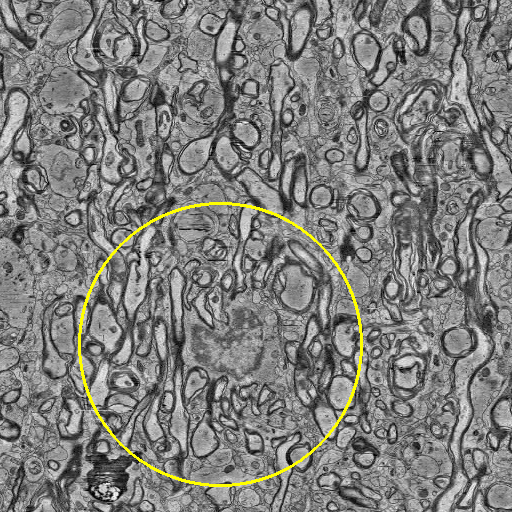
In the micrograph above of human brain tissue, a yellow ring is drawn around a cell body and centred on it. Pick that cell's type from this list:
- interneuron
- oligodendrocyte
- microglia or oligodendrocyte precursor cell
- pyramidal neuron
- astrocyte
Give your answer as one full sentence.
Going by the list, an oligodendrocyte is the cell on which the yellow ring is centred.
